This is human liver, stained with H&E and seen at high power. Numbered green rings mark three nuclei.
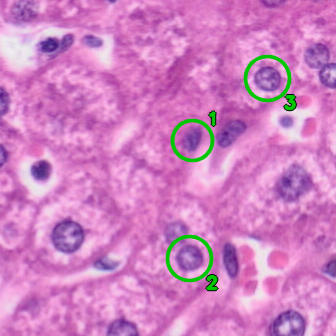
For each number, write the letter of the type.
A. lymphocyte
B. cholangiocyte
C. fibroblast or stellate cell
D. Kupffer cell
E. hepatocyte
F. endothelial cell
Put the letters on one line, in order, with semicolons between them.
C; E; E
